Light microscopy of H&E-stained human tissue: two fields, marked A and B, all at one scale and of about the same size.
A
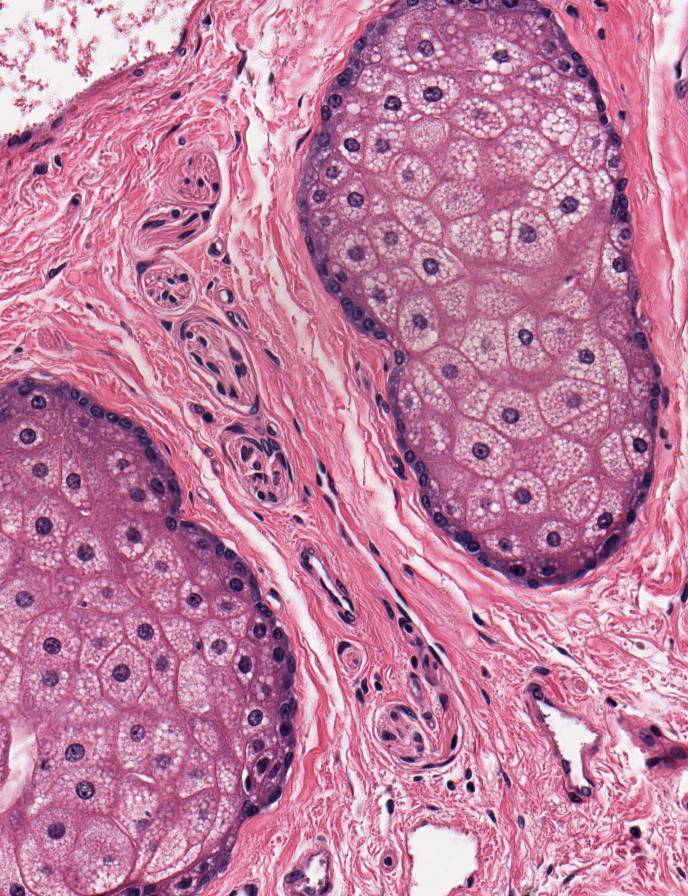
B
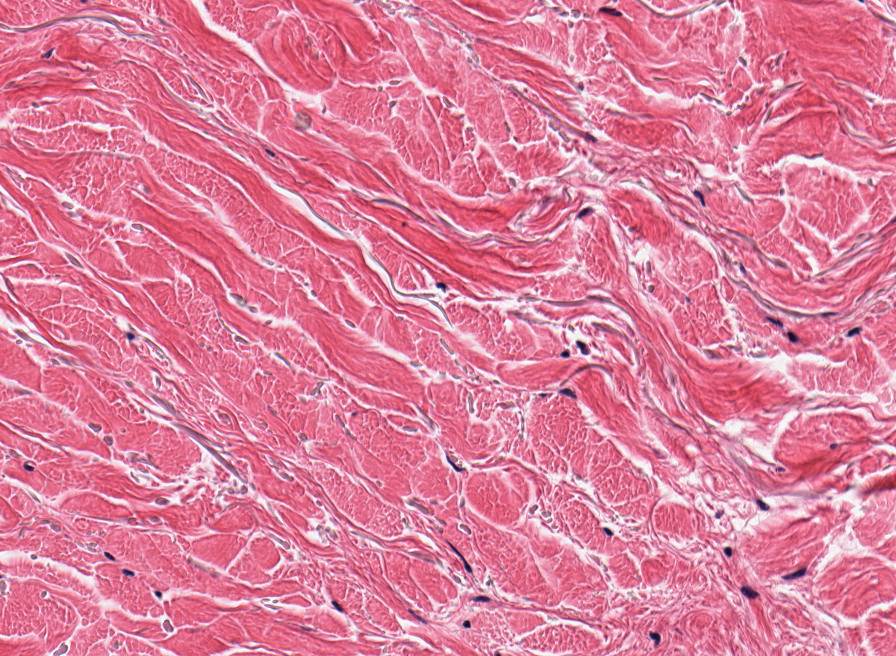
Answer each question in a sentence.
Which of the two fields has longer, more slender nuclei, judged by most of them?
The nuclei are more elongated in field B.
